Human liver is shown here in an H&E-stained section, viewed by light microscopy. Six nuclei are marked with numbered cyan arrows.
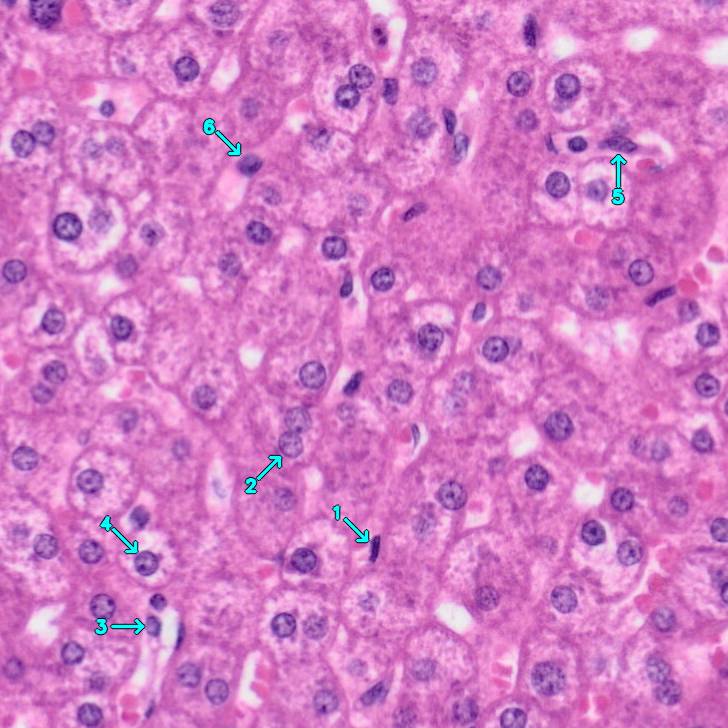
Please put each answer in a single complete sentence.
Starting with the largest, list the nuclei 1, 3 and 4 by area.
By area, largest first, they run 4, 3, 1.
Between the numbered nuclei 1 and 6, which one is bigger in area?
Nucleus 6 covers more area, about 2 times as much as nucleus 1.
